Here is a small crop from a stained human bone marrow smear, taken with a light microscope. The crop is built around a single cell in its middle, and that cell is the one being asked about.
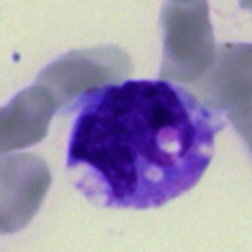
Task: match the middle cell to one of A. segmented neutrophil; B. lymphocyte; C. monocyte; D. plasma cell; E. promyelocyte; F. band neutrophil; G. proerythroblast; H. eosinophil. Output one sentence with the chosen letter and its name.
The correct option is C, as the central cell is a monocyte.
